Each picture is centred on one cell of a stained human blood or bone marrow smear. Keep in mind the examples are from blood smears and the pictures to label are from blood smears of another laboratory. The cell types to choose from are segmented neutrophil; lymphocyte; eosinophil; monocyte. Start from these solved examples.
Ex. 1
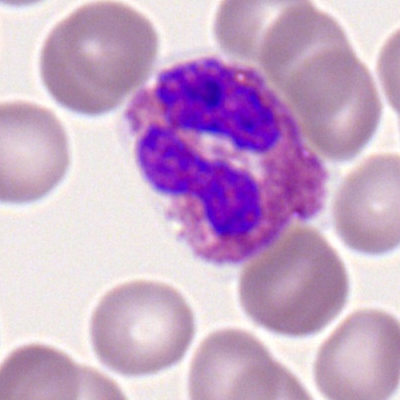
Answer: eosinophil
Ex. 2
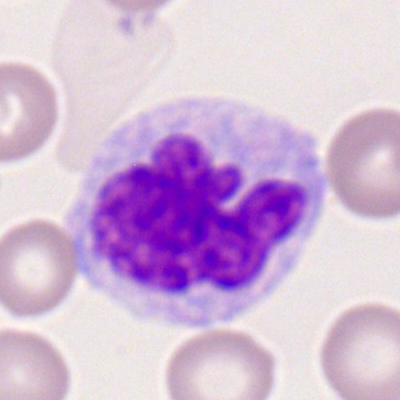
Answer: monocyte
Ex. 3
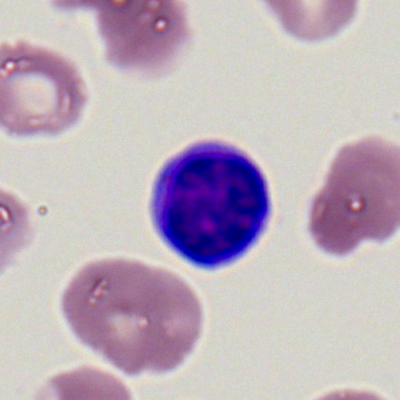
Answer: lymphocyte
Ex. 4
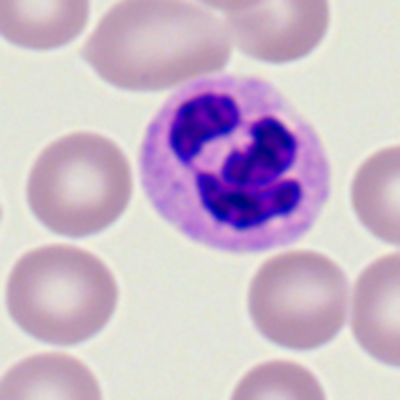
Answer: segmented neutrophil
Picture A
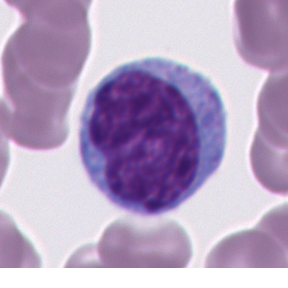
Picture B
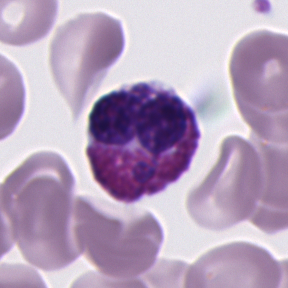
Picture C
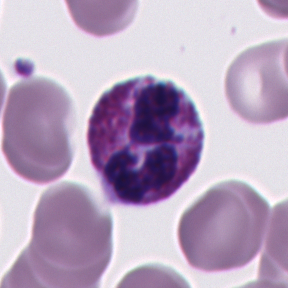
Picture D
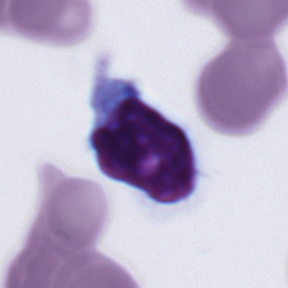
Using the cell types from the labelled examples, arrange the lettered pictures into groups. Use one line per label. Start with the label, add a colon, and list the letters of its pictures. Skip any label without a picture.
lymphocyte: D
eosinophil: B, C
monocyte: A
